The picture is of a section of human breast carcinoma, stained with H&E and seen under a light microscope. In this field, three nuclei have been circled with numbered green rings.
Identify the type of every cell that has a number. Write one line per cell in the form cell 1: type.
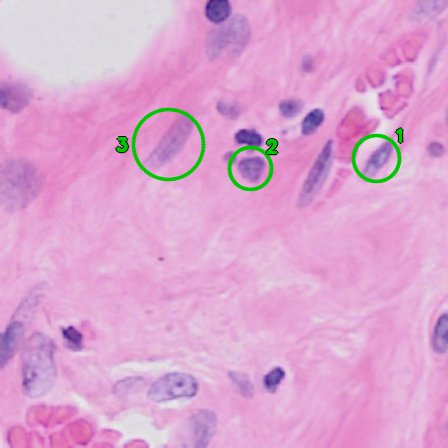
cell 1: endothelial cell
cell 2: lymphocyte
cell 3: fibroblast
